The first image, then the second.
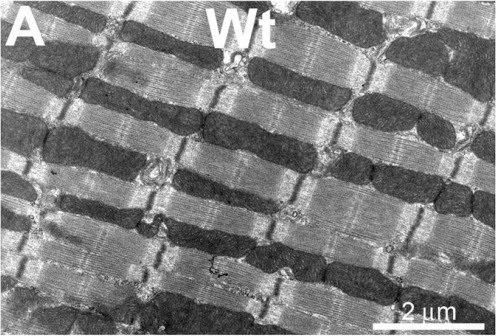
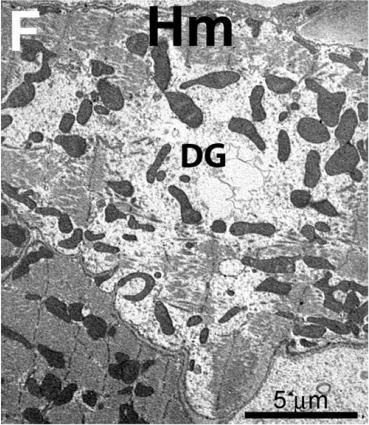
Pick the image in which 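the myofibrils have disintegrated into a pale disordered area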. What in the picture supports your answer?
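Second image: a large pale zone without regular striations, with scattered organelles. First image: orderly parallel striated bands with rows of organelles between them. So: the second image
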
